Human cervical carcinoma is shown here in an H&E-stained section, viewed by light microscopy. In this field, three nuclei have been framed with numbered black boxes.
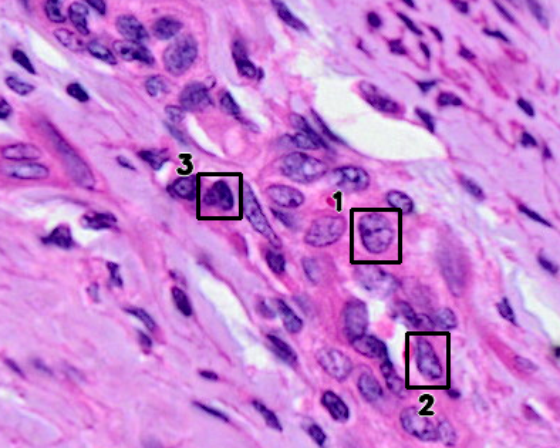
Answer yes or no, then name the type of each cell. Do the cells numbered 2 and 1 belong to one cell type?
Yes, with respect to identity, cells 2 and 1 are both endothelial cells.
